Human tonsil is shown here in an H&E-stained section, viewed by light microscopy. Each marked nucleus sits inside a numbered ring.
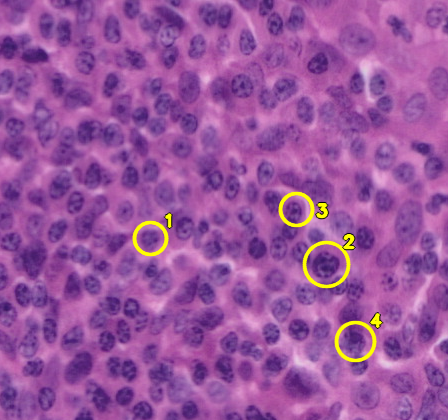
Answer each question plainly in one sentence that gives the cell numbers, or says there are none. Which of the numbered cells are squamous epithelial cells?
Only the cell marked 4 is a squamous epithelial cell.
